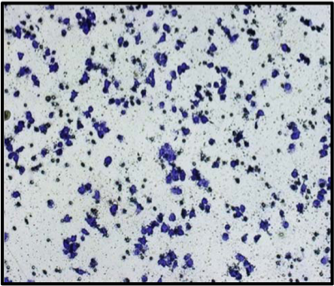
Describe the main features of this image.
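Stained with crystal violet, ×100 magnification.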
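The cells are irregular in outline, some single and many gathered into dense clumps of several cells. The stained cells are distributed over the whole field.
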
